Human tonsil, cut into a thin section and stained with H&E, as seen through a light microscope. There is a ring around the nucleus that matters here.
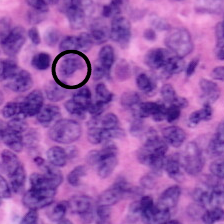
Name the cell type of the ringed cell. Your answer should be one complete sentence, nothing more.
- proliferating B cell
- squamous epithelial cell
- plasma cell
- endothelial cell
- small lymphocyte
Histopathologically, the ringed cell is a proliferating B cell.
